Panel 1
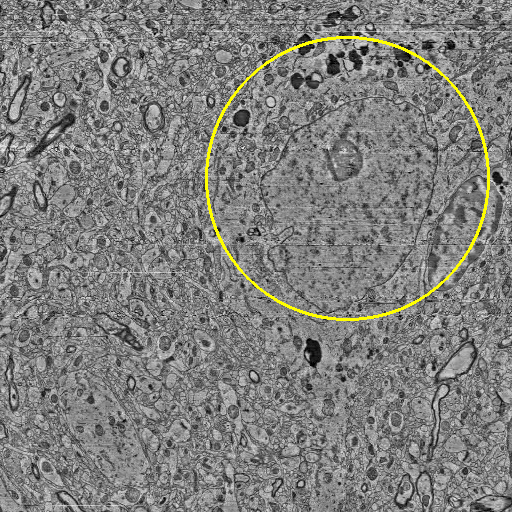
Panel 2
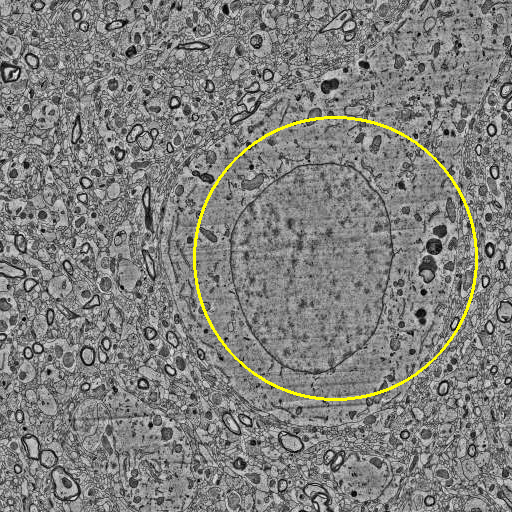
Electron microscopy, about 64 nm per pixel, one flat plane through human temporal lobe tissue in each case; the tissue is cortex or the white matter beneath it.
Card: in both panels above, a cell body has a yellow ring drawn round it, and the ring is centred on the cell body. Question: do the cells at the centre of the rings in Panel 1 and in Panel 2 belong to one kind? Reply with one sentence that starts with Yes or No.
Yes, the cells centred in the rings of Panel 1 and Panel 2 are one kind of cell.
